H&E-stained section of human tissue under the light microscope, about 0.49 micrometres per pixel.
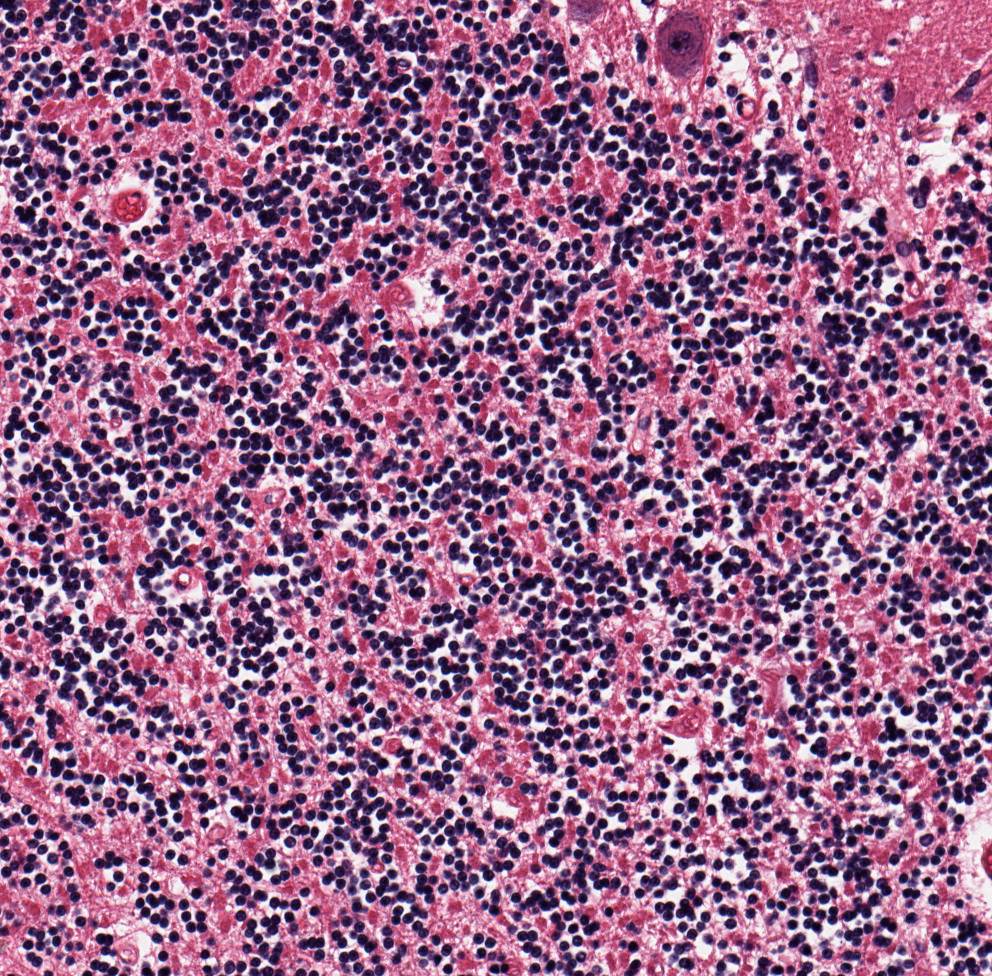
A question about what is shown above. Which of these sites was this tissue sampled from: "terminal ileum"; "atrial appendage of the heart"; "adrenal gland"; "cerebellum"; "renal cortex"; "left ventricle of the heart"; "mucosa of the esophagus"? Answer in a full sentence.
The site this tissue was sampled from is the cerebellum.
